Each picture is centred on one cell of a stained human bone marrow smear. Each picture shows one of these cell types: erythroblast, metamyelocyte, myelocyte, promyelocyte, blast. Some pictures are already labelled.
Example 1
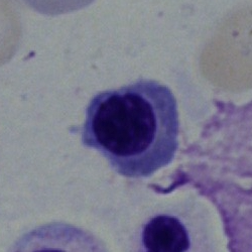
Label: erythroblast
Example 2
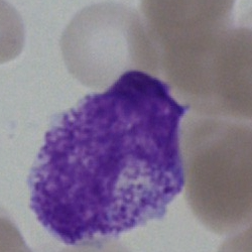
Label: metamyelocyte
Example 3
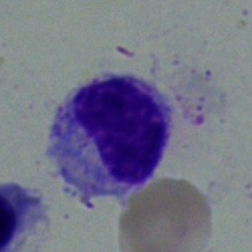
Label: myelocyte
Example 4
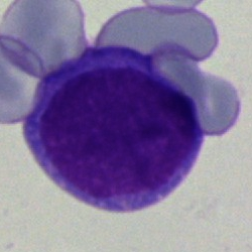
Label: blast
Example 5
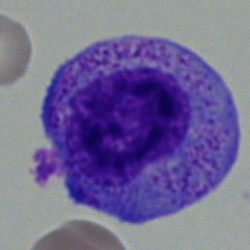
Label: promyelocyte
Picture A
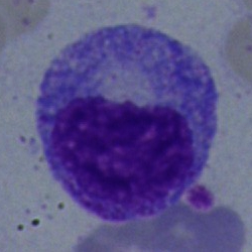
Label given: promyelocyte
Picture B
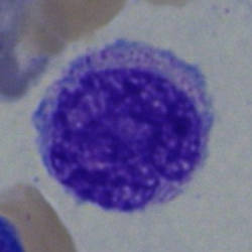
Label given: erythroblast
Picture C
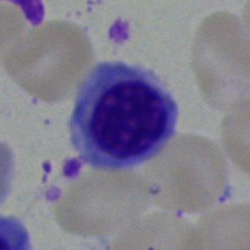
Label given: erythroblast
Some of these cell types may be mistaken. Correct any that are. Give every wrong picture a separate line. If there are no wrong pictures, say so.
B: not erythroblast but myelocyte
